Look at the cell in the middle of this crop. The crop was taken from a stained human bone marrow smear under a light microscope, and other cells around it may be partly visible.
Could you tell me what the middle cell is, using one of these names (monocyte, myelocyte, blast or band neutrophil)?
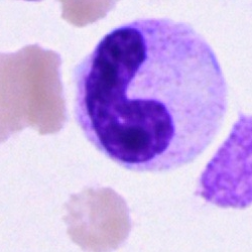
band neutrophil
